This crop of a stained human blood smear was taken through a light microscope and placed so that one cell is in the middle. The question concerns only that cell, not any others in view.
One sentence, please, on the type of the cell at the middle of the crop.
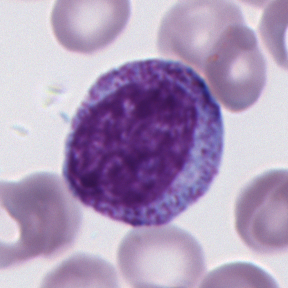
Standing at the centre of this crop is a promyelocyte.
